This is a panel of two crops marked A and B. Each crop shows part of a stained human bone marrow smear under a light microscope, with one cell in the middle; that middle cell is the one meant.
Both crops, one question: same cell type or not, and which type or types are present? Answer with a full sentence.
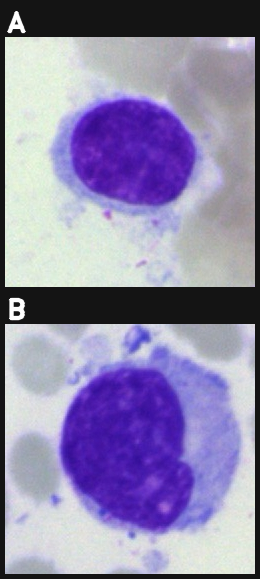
No, a hairy cell occupies the middle of crop A, and a monocyte the middle of crop B.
